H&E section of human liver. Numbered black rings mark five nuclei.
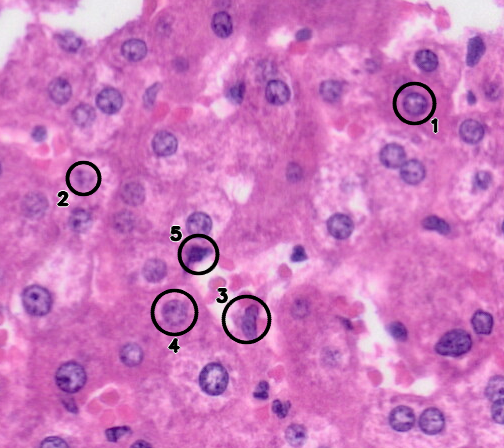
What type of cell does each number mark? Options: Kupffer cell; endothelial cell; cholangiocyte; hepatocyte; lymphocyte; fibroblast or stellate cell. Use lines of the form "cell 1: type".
cell 1: hepatocyte
cell 2: hepatocyte
cell 3: Kupffer cell
cell 4: hepatocyte
cell 5: fibroblast or stellate cell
